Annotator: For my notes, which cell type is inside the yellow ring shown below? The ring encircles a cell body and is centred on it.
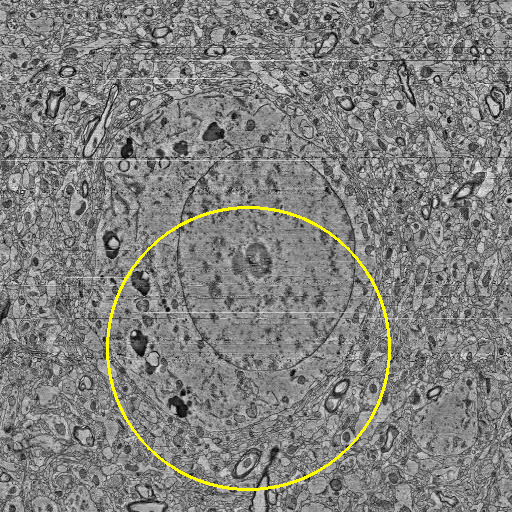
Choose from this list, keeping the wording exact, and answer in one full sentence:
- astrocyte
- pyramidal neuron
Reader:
At the centre of the yellow ring there is a pyramidal neuron, as shown in the picture.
